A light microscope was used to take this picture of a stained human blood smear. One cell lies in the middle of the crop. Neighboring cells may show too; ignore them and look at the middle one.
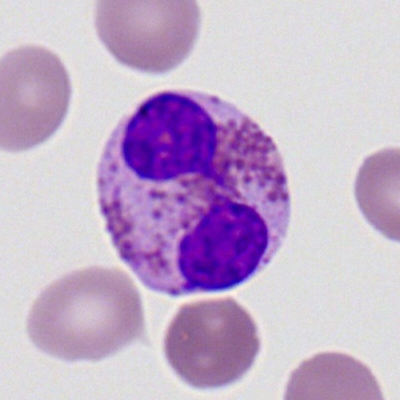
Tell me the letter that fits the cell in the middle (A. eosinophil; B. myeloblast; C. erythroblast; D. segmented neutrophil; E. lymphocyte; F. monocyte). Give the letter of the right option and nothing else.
A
